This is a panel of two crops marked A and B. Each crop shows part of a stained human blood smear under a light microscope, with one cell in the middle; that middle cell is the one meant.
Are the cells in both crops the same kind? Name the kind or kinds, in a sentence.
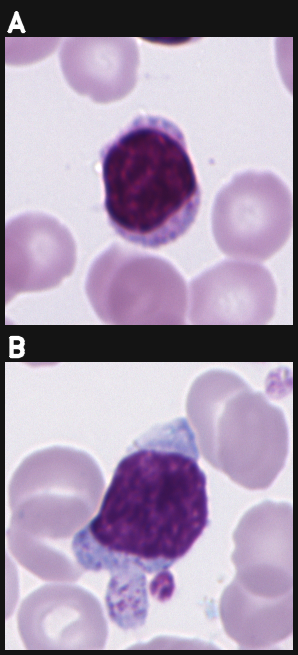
Yes, that is right, both crops show large granular lymphocytes.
